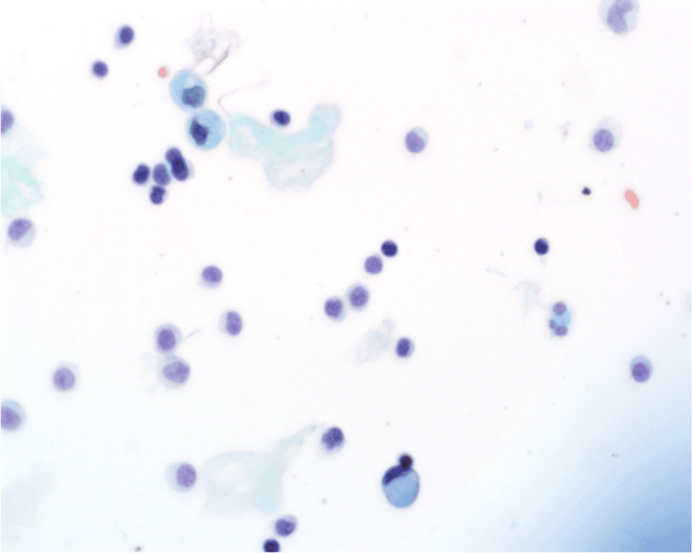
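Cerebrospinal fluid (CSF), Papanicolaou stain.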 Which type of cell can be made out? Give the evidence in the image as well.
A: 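Atypical epithelioid cells. A few larger cells have abundant blue-green cytoplasm and dark nuclei. They lie singly among many small round cells with dense nuclei.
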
